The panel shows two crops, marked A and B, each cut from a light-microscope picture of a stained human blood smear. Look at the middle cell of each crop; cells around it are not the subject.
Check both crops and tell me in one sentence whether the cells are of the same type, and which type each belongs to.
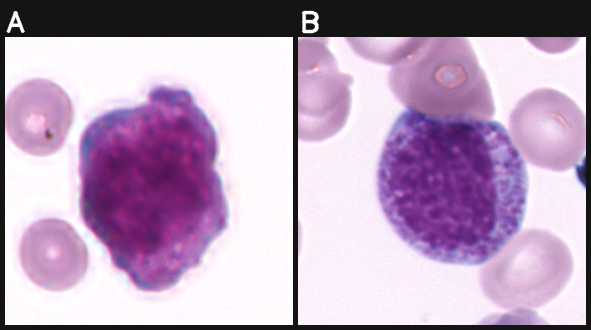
No, crop A shows an atypical promyelocyte, and it is crop B that shows a myelocyte.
